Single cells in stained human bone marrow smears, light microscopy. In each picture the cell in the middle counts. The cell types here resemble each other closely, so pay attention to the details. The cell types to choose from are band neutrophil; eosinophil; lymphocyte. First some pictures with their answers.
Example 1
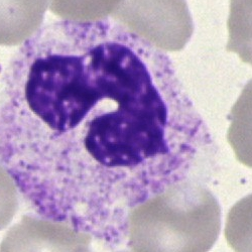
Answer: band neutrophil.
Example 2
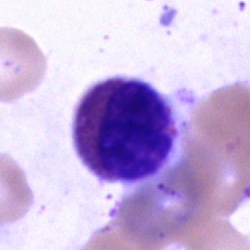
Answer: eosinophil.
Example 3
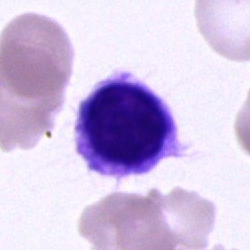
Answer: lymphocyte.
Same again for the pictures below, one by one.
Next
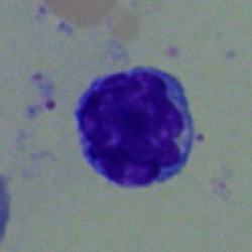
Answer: lymphocyte.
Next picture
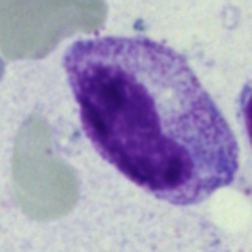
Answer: band neutrophil.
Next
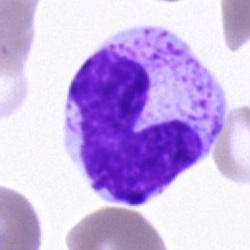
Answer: band neutrophil.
